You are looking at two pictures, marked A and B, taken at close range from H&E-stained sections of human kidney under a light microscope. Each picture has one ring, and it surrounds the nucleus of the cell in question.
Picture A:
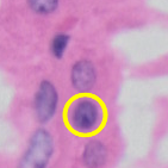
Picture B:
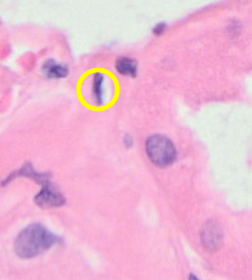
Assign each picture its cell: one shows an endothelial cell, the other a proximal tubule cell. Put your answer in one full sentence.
Picture A shows a proximal tubule cell and picture B shows an endothelial cell.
